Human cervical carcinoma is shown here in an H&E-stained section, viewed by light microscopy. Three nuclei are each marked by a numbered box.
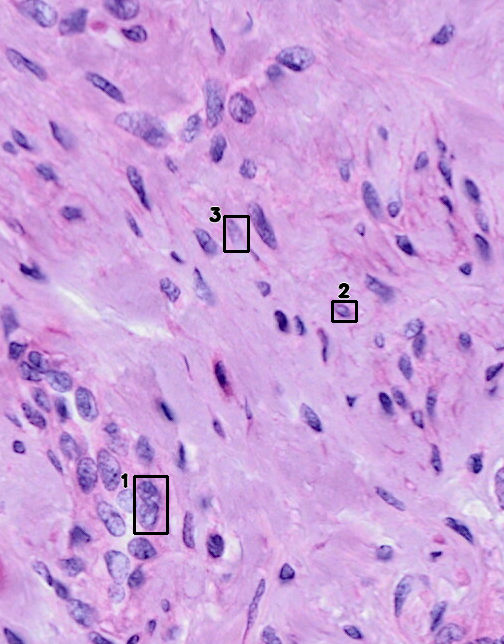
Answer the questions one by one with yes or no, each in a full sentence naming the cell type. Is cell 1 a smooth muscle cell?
No, cell 1 is an endothelial cell, not a smooth muscle cell.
